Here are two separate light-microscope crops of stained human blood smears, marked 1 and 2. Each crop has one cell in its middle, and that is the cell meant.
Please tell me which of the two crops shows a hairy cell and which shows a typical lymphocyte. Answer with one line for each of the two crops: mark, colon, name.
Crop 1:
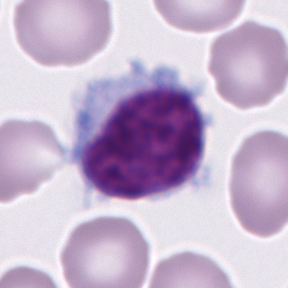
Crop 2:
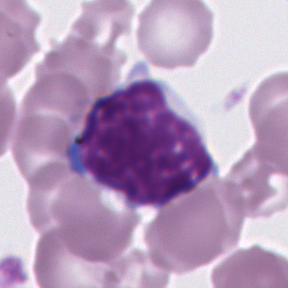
1: hairy cell
2: typical lymphocyte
